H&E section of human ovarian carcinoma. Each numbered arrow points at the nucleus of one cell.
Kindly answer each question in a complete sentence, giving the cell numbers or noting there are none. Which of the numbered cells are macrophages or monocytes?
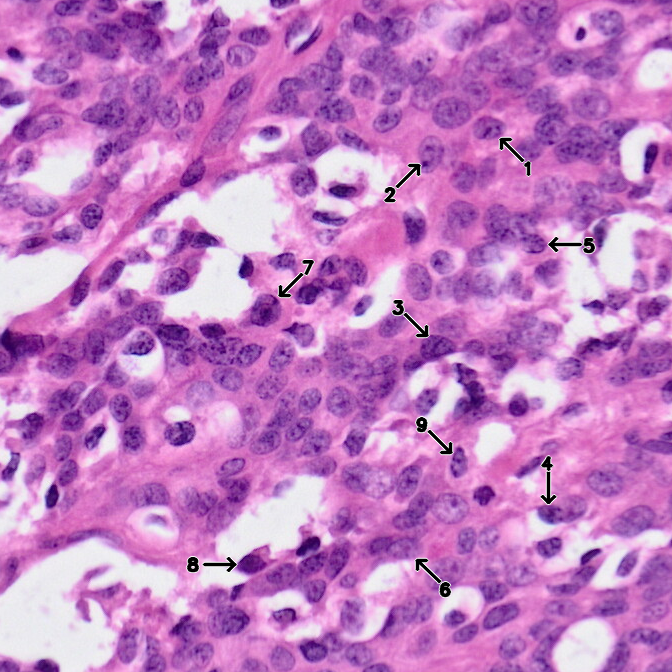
When it comes to cells 1, 2, 5 and 9, they are macrophages or monocytes.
